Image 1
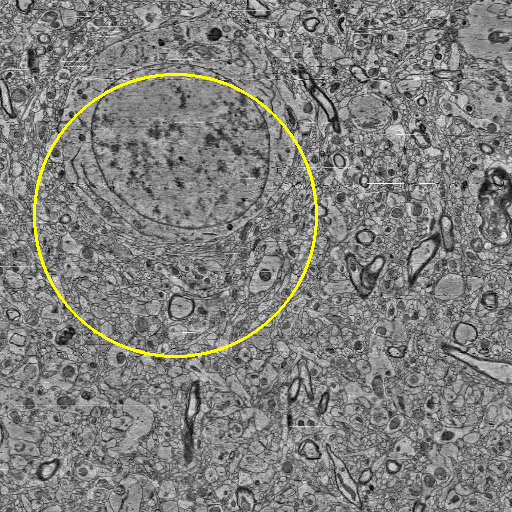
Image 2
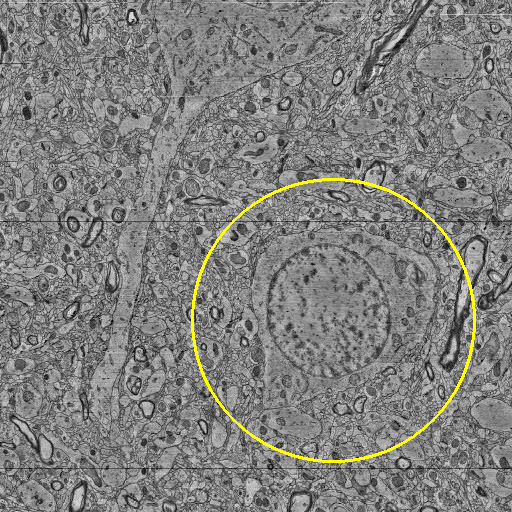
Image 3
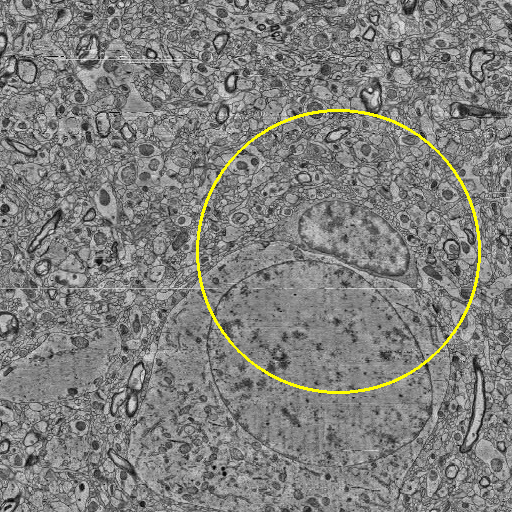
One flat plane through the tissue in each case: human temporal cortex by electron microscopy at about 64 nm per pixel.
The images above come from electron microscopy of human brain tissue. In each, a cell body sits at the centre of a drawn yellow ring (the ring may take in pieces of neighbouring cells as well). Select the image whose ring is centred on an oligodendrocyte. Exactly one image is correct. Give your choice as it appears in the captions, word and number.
Image 3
